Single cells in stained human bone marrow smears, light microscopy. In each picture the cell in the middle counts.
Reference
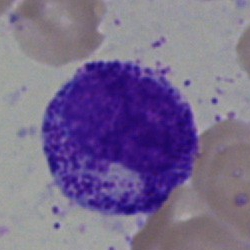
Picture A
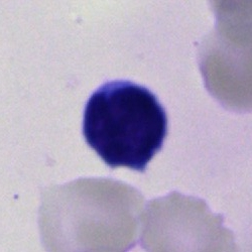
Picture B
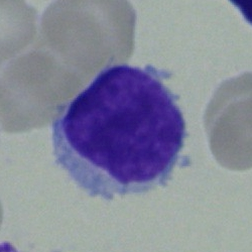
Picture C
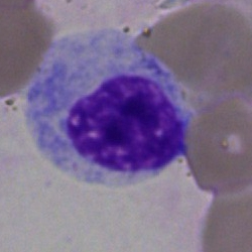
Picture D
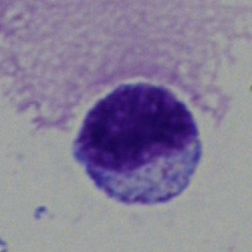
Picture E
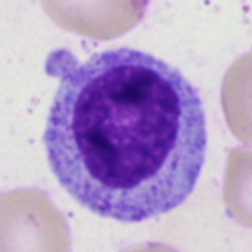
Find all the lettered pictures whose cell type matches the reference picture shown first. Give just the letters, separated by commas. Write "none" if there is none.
C, D, E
